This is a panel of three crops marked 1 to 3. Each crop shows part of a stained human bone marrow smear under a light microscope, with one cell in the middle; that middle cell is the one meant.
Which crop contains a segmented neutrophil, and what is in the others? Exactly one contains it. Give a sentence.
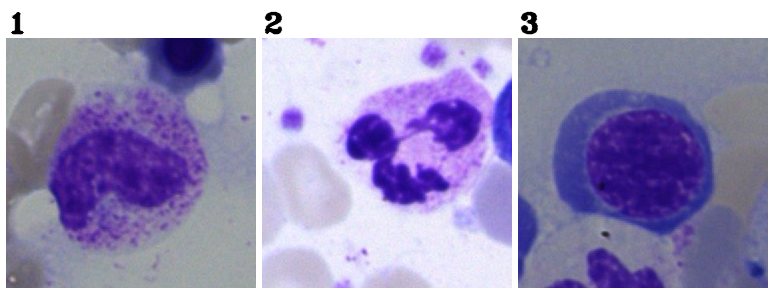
In the series, crop 2 depicts a segmented neutrophil, while crop 1 is a band neutrophil and crop 3 is an erythroblast.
